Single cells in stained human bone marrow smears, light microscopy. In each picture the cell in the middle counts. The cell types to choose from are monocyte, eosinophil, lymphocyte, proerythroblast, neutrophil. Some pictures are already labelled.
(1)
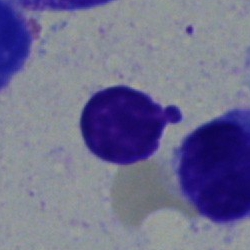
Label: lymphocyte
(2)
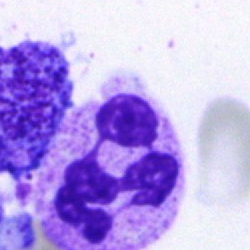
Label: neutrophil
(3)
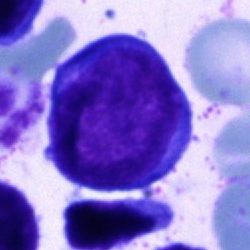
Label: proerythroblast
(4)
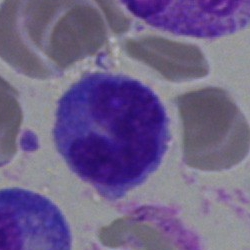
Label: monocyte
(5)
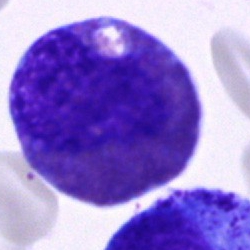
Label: eosinophil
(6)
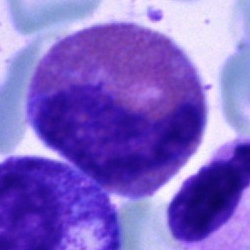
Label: eosinophil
